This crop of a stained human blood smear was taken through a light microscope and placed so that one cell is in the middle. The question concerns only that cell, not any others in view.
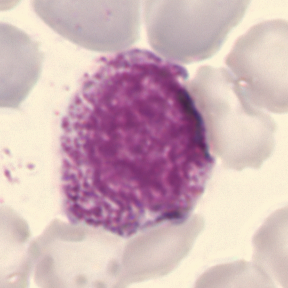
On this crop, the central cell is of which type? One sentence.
Positioned in the middle of the crop is a myelocyte.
